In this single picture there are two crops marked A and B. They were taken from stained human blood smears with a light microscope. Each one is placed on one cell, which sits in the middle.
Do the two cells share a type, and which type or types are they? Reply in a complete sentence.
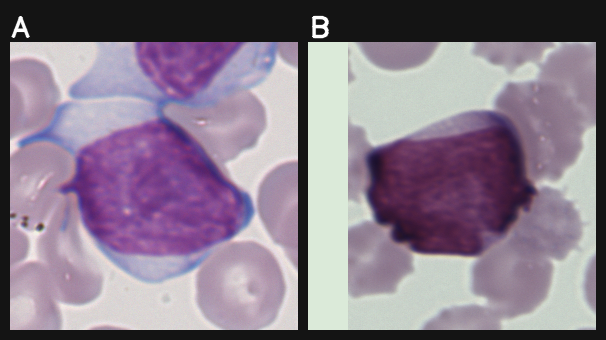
Yes, the central cells in both crops are blasts.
